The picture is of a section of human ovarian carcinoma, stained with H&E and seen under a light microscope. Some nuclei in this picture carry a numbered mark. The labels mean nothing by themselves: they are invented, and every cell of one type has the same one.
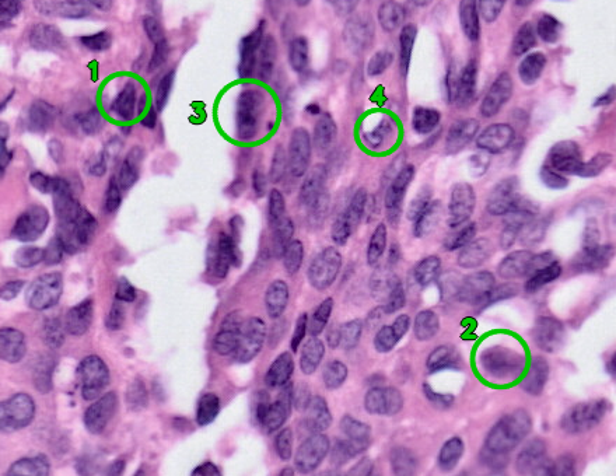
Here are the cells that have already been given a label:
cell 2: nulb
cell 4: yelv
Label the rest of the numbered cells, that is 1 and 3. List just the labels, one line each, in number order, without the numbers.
nulb
nulb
